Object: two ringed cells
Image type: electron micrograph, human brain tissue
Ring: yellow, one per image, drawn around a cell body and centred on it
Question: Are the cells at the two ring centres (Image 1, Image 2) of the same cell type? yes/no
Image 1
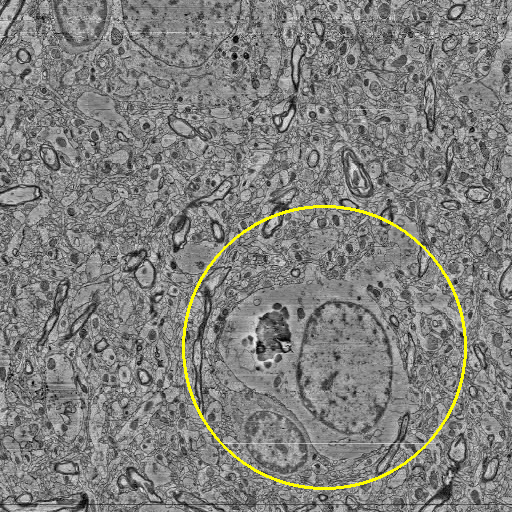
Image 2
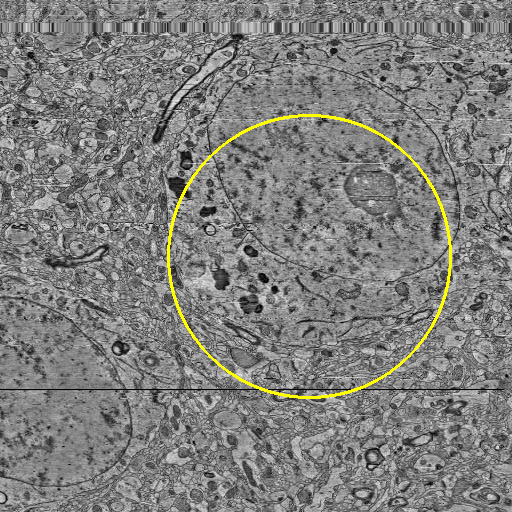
no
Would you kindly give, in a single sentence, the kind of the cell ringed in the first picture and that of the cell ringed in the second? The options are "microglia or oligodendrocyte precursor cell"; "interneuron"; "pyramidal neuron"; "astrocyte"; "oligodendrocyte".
The second cell is a pyramidal neuron, and the first cell is an astrocyte.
